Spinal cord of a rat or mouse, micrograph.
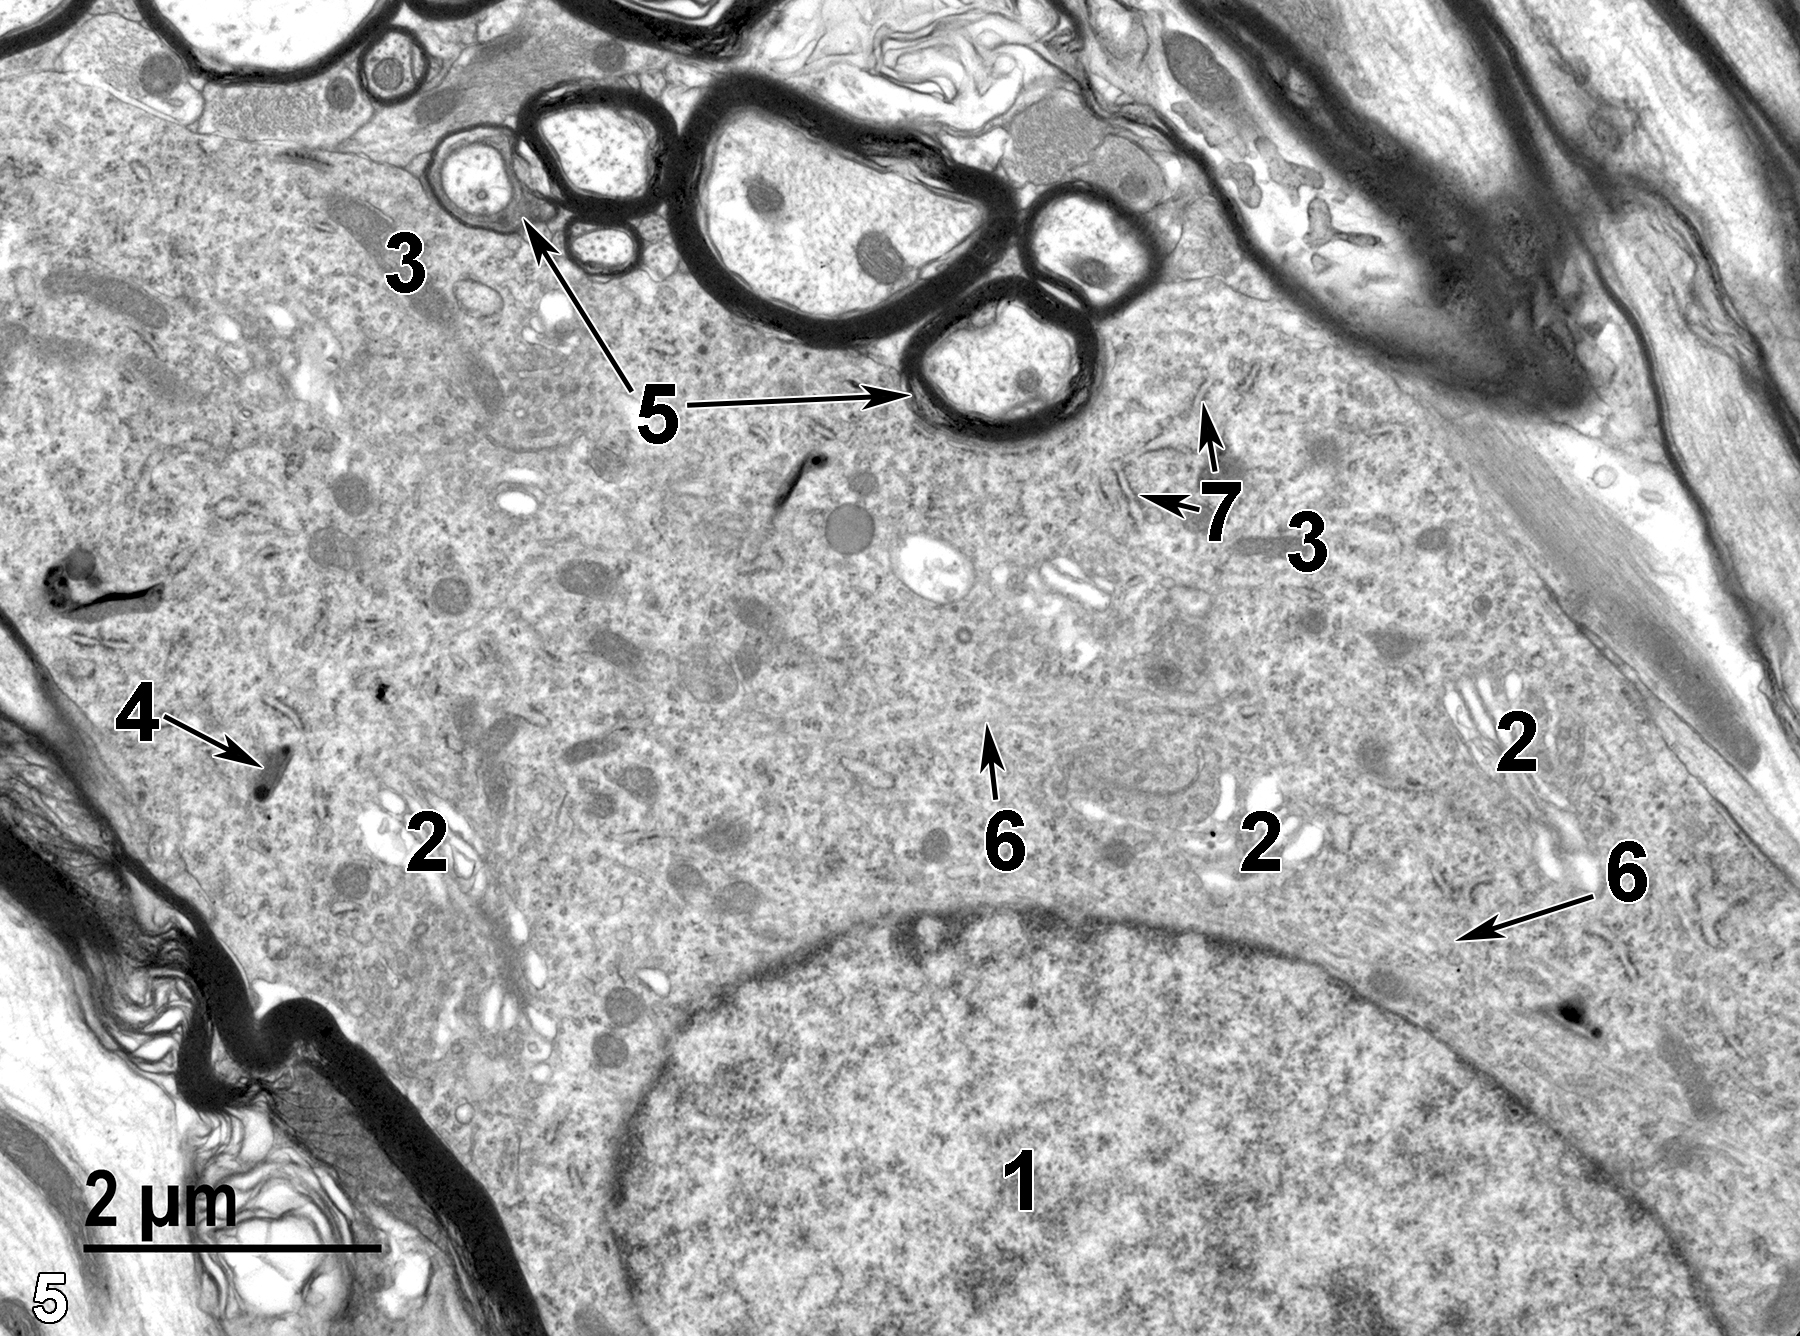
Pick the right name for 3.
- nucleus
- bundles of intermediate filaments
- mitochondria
mitochondria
